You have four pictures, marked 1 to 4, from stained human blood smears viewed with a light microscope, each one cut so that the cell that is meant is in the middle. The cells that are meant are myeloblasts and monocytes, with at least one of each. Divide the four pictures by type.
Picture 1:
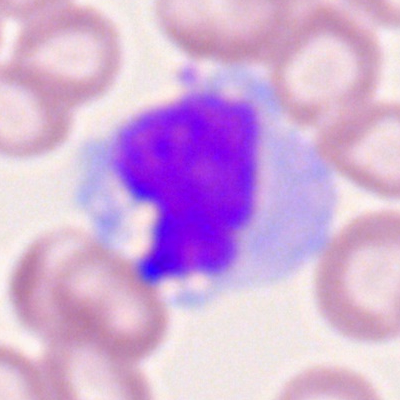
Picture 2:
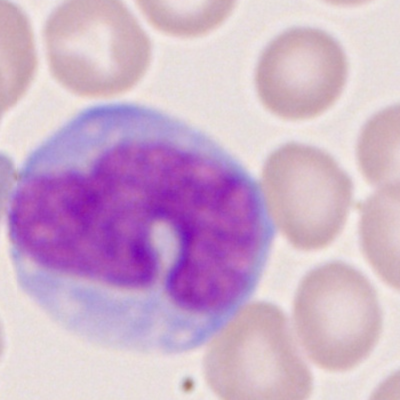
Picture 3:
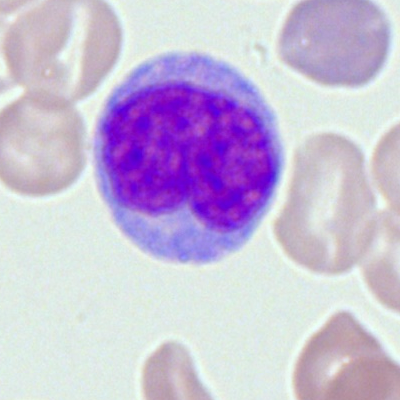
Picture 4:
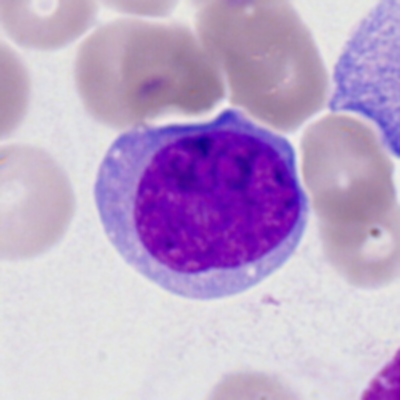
1: monocyte
2: monocyte
3: monocyte
4: myeloblast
